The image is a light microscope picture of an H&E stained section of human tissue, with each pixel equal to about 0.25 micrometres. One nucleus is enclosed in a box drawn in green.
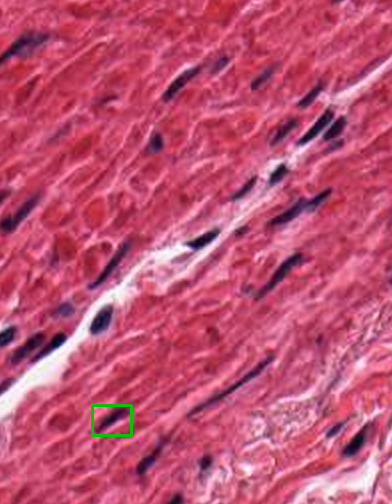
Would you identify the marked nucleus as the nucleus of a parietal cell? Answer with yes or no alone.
no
